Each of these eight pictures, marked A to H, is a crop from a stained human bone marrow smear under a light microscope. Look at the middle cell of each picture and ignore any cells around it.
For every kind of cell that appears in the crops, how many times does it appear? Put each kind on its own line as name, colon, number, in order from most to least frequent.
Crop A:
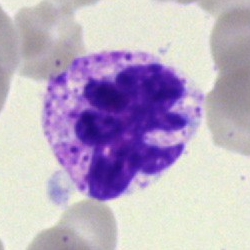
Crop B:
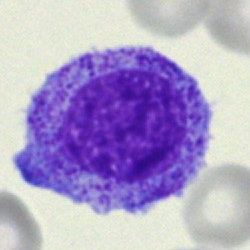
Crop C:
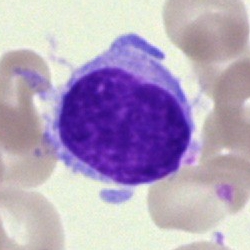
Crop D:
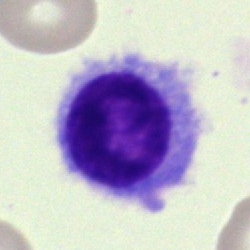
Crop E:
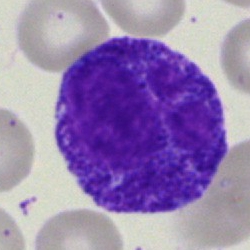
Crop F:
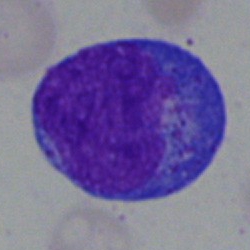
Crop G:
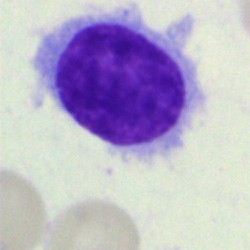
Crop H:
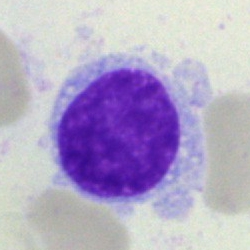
hairy cell: 4
promyelocyte: 3
basophil: 1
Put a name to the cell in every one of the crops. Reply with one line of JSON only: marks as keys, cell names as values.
{"A": "basophil", "B": "promyelocyte", "C": "hairy cell", "D": "hairy cell", "E": "promyelocyte", "F": "promyelocyte", "G": "hairy cell", "H": "hairy cell"}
